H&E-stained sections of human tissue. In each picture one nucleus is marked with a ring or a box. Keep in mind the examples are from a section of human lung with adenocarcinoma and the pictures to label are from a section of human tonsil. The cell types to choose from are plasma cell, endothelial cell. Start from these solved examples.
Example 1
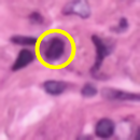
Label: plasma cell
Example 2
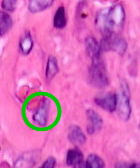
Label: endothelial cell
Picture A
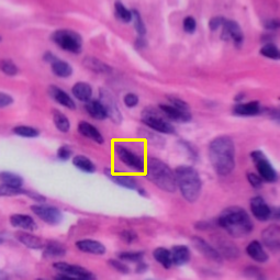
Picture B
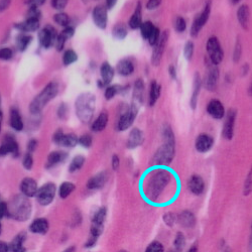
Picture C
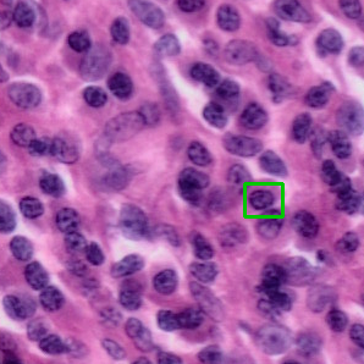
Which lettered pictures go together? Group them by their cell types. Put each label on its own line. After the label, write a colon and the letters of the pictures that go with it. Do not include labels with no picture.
plasma cell: C
endothelial cell: A, B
